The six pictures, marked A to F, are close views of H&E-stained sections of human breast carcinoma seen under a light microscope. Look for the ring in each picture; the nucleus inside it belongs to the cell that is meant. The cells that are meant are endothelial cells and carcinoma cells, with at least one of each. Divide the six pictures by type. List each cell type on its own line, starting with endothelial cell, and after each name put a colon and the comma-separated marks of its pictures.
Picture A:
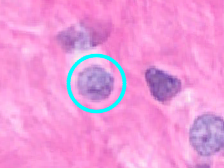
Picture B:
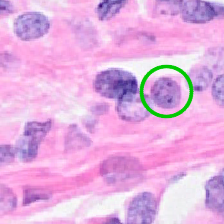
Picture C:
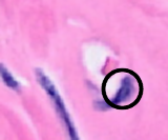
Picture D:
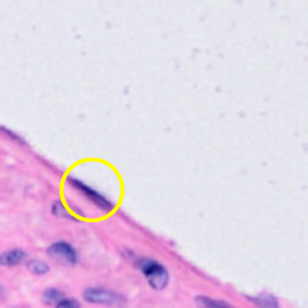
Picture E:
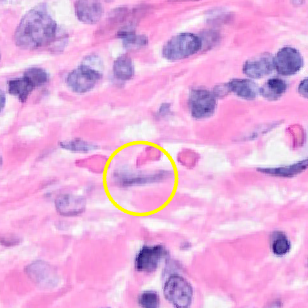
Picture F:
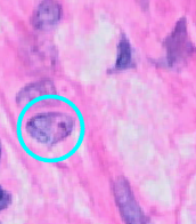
endothelial cell: C, D, E
carcinoma cell: A, B, F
